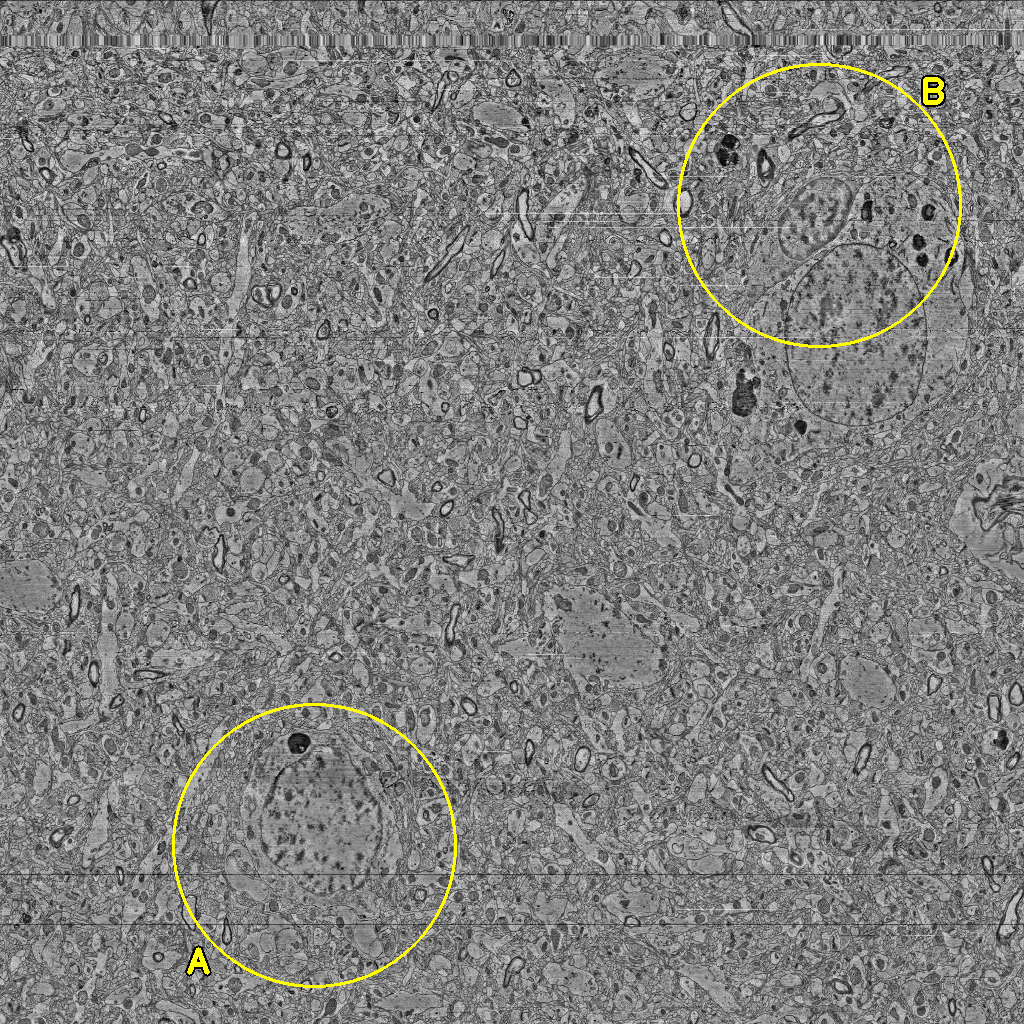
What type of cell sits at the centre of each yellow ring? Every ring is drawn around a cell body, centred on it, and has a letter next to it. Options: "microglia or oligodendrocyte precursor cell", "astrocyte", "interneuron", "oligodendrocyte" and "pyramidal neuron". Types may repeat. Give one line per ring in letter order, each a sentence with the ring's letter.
Ring A has an interneuron at its centre.
Ring B has an oligodendrocyte at its centre.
